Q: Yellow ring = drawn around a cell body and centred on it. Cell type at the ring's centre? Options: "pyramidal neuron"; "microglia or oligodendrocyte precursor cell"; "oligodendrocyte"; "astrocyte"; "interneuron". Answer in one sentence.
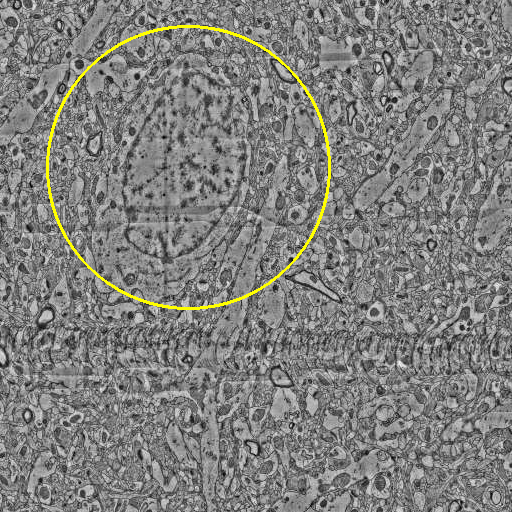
Centred in the ring is an interneuron.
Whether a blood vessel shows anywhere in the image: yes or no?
No, no blood vessel shows in the picture.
